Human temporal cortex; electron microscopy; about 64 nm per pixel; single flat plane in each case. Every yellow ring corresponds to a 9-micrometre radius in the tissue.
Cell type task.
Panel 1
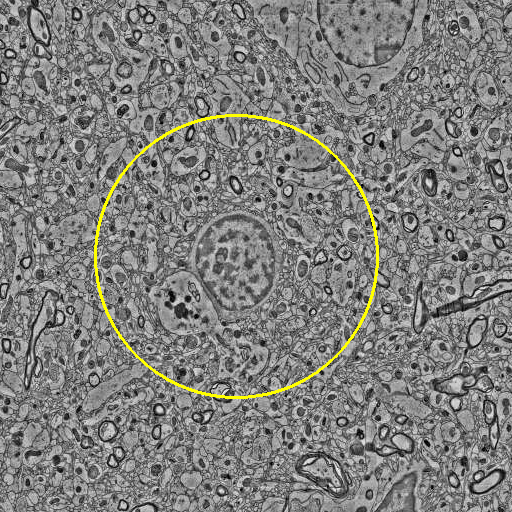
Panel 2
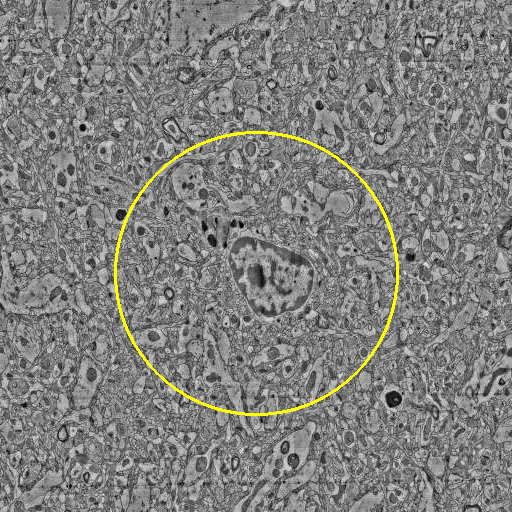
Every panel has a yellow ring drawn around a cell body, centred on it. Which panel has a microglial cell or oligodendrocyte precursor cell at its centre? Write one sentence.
It sits at the centre of the ring in Panel 2.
